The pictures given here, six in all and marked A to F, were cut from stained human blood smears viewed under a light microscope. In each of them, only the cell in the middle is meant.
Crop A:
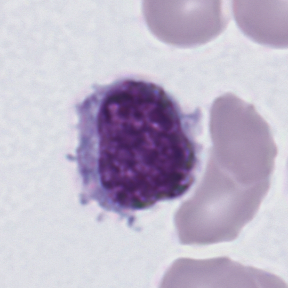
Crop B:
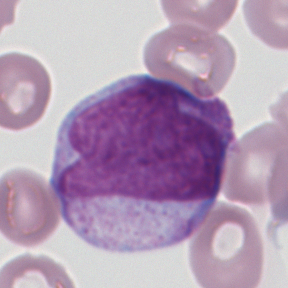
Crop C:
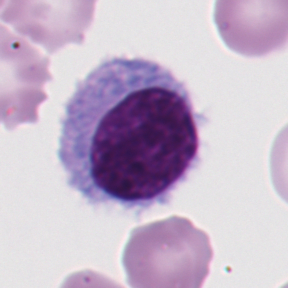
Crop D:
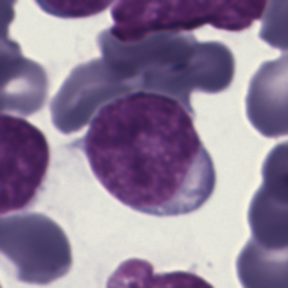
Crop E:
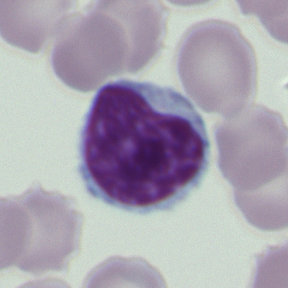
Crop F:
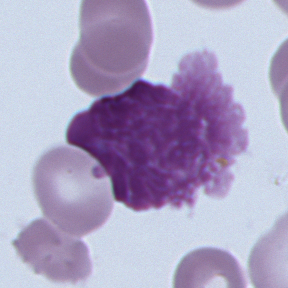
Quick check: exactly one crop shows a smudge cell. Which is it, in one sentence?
Among the crops provided, a smudge cell occupies the center of crop F.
